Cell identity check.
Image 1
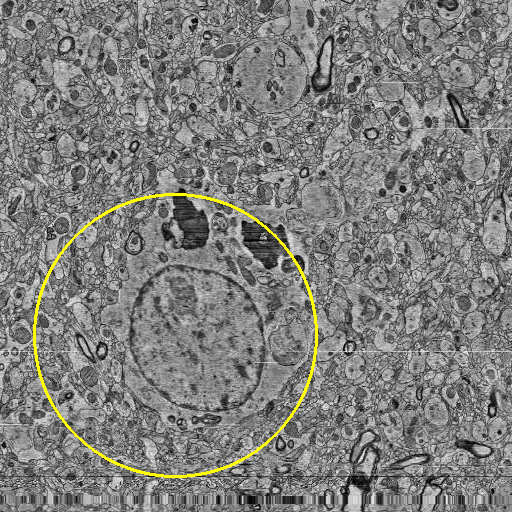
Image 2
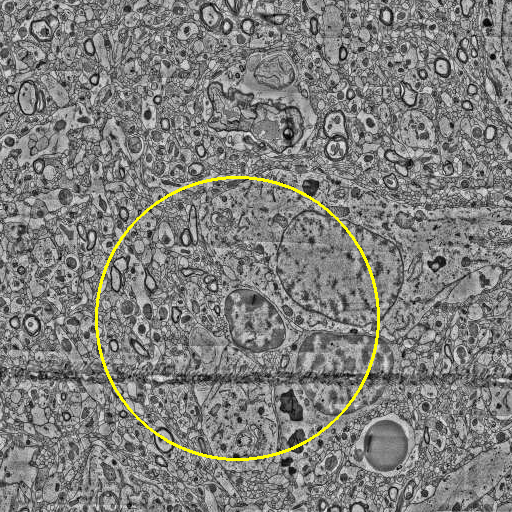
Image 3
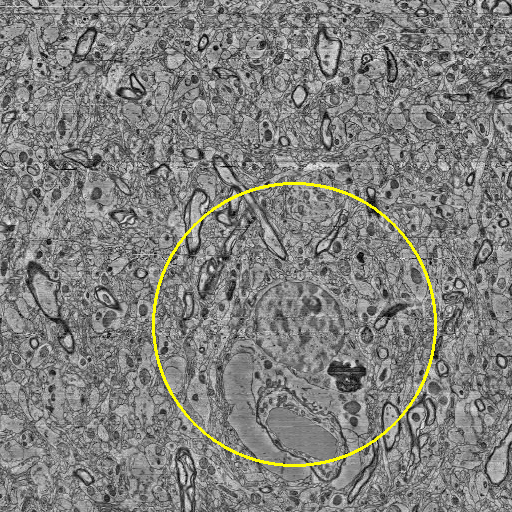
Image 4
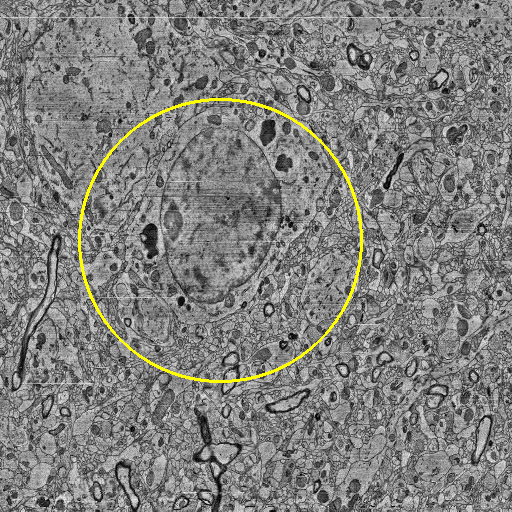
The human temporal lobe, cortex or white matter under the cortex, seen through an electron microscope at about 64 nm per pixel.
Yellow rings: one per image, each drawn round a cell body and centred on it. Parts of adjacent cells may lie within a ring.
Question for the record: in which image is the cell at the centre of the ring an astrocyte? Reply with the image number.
1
